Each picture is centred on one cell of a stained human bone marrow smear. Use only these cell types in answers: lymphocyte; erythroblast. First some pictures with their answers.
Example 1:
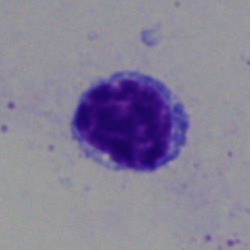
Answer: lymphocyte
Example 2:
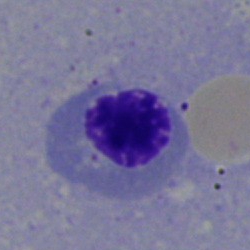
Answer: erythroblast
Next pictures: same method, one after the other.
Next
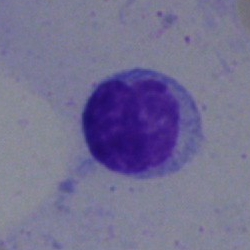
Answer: lymphocyte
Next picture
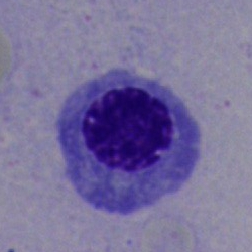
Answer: erythroblast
